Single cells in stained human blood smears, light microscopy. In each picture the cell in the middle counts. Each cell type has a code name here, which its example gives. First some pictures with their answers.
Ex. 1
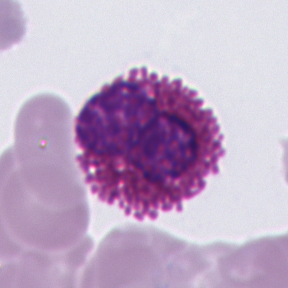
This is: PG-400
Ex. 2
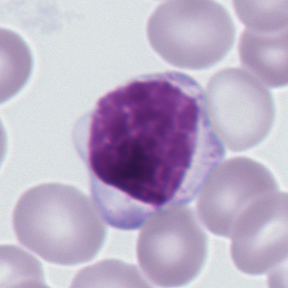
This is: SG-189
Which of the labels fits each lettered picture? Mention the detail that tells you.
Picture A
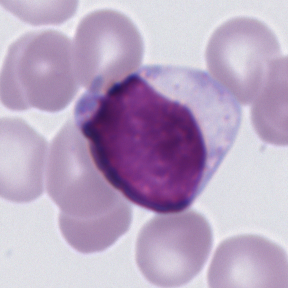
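Answer: SG-189. A few fine purple dots are scattered in the cytoplasm.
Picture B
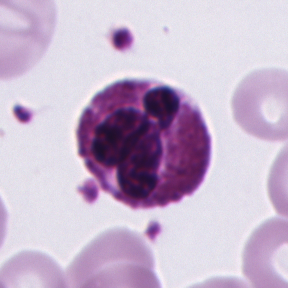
Answer: PG-400. The cytoplasm is packed with reddish-pink granules.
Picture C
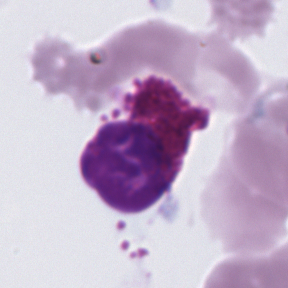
Answer: PG-400. Coarse reddish-purple granules are crowded together in the upper right part of the cell.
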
